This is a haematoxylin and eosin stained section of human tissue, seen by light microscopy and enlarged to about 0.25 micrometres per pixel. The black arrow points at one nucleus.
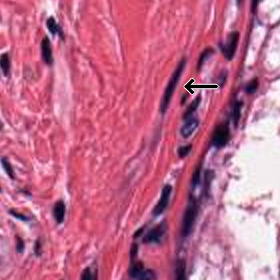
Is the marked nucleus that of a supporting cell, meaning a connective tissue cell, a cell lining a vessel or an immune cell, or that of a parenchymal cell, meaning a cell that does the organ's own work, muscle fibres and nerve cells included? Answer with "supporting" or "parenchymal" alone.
supporting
